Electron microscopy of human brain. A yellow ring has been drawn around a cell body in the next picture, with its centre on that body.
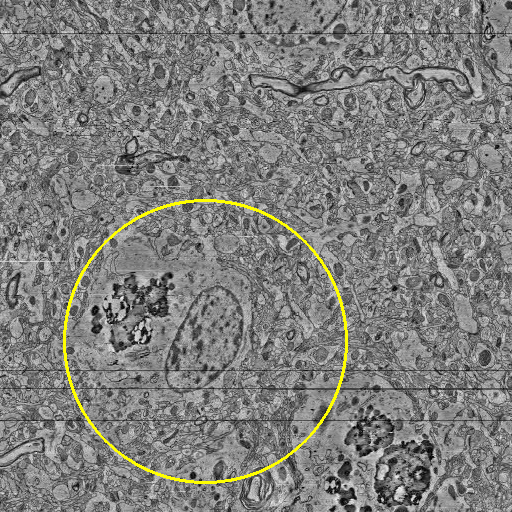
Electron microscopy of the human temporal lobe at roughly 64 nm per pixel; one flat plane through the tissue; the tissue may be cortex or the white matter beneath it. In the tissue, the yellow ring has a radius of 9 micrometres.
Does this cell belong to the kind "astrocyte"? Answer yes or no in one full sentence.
Yes, the ringed cell in this picture, sitting at the ring's centre, is of that kind.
